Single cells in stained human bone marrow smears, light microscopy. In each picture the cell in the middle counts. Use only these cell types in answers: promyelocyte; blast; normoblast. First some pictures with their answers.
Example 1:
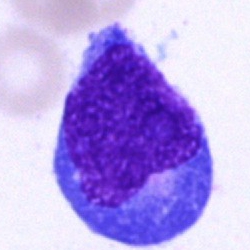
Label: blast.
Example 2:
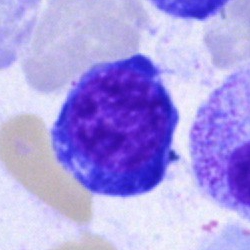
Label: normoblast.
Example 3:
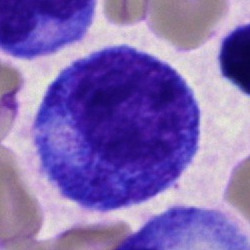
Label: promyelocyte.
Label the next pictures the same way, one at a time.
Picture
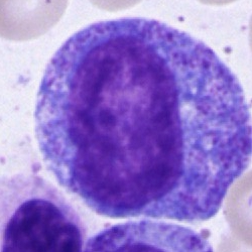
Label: promyelocyte.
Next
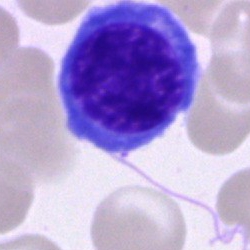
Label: normoblast.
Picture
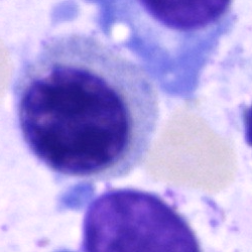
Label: normoblast.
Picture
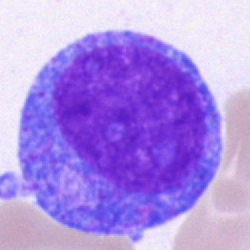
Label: promyelocyte.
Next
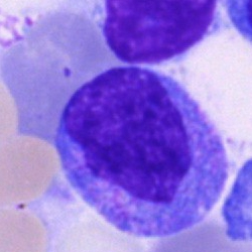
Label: promyelocyte.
